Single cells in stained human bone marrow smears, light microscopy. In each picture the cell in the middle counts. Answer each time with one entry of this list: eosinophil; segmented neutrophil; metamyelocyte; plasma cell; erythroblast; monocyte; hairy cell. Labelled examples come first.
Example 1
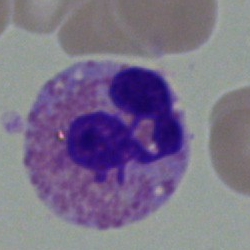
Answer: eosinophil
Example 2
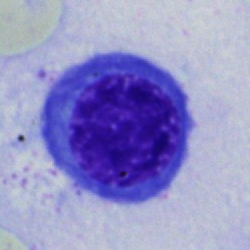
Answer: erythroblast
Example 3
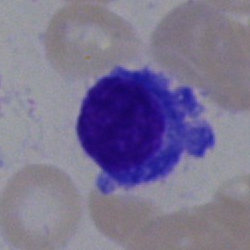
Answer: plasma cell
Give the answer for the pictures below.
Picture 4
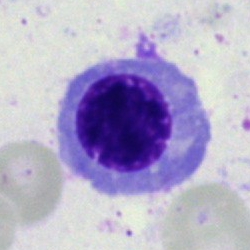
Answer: erythroblast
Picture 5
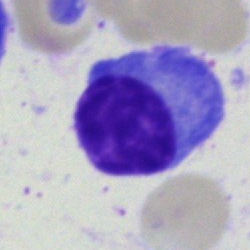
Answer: plasma cell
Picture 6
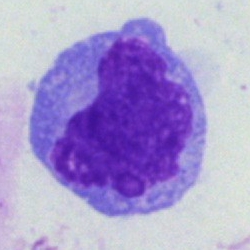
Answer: monocyte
